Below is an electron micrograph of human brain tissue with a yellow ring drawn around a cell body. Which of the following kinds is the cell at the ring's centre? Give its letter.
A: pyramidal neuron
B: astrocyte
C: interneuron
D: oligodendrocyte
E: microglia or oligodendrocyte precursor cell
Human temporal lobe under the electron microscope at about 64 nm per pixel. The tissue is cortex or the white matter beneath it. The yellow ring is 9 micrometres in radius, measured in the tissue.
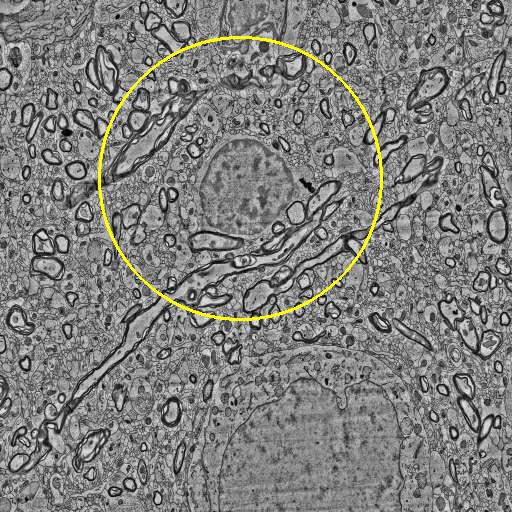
D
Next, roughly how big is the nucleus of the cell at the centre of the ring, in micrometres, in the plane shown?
The nucleus appears about 6 micrometres across in this plane.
